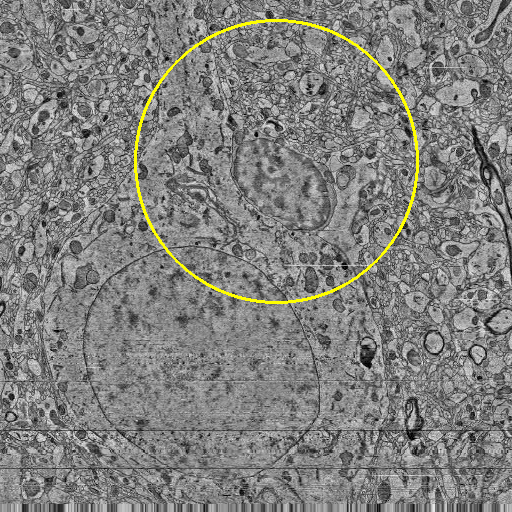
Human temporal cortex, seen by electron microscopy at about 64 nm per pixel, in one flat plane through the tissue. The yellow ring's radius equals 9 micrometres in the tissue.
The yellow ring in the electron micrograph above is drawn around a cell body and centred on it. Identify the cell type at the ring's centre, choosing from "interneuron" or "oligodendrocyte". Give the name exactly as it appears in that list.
oligodendrocyte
